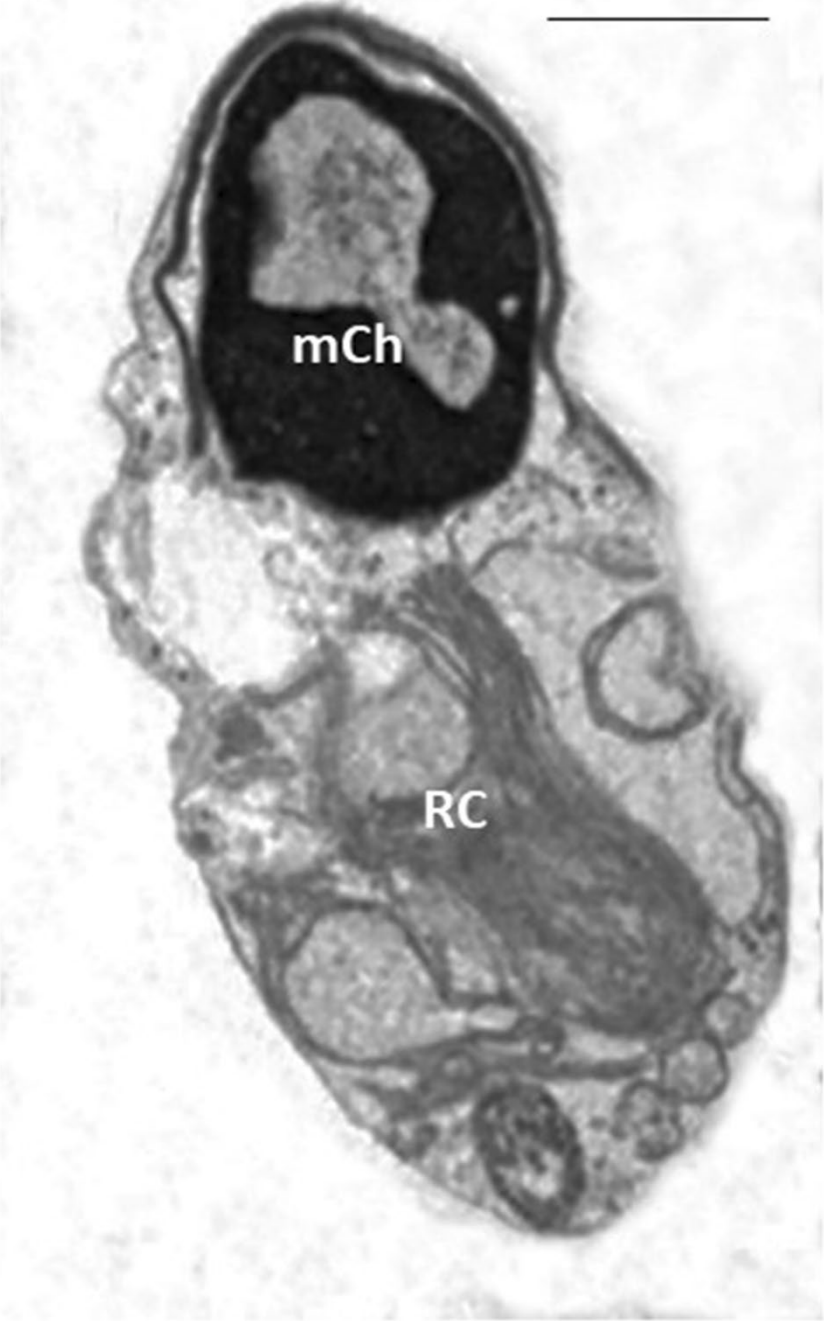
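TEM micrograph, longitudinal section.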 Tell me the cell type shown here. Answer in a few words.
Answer: apoptotic sperm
